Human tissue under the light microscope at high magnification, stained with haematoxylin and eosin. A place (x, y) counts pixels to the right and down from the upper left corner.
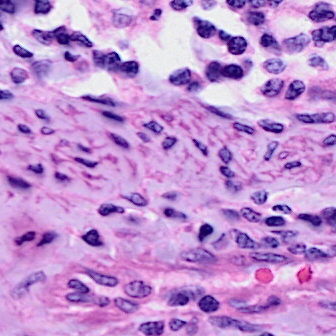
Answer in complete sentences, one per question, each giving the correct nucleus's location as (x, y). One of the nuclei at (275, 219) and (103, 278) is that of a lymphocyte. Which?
Of the two options, the nucleus at (275, 219) is the one that belongs to a lymphocyte.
